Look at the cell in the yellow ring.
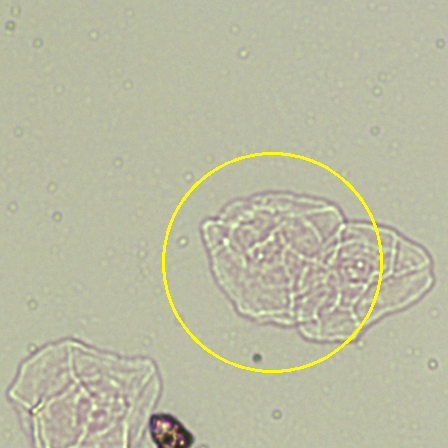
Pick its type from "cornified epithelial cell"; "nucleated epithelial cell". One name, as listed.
cornified epithelial cell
